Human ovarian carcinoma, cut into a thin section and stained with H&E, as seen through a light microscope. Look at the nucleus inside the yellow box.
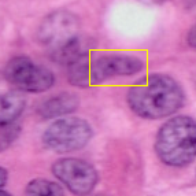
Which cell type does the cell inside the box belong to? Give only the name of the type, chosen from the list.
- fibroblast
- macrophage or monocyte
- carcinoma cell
carcinoma cell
